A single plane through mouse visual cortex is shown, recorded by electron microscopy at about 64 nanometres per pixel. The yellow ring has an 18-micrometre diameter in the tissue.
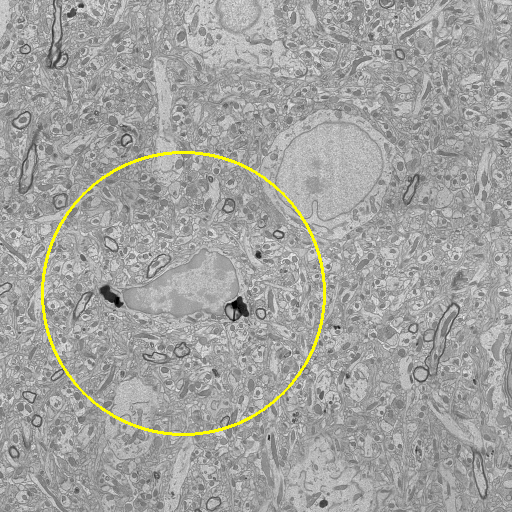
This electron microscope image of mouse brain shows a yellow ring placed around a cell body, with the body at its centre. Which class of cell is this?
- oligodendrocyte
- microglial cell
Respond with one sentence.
The cell body at the ring's centre is a microglial cell.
